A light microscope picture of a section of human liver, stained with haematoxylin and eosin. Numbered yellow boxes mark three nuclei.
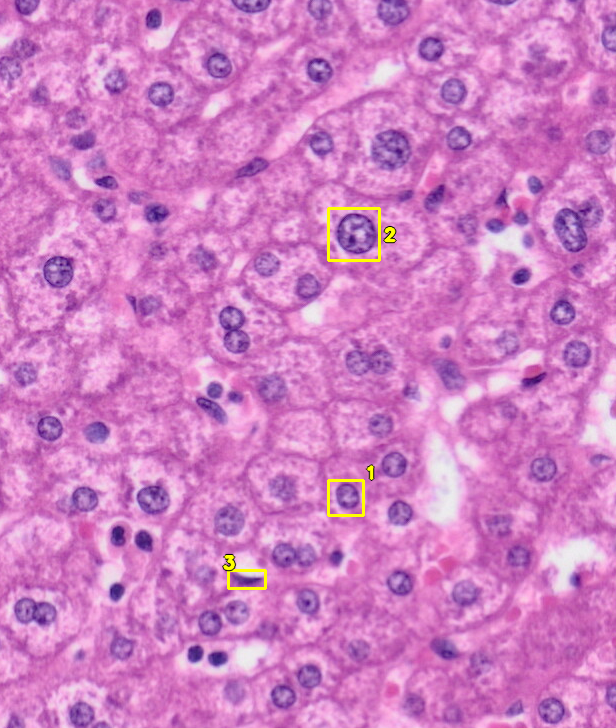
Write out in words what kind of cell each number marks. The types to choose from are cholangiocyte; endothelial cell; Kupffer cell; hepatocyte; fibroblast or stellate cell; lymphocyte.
Cell 1 is a hepatocyte, cell 2 is a hepatocyte and cell 3 is an endothelial cell.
